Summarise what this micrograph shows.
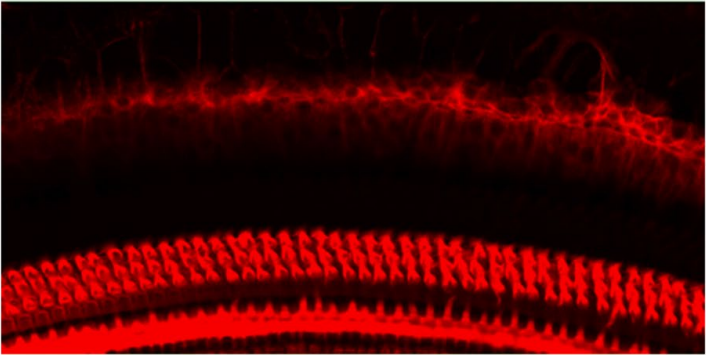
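This whole mount of the organ of Corti shows the outer hair cells as bright red V-shaped profiles in regularly spaced parallel rows along a curved strip near the lower edge. Below them a bright red continuous band runs parallel to the rows. Above the hair cell region, separated by a darker zone, a band of polygonal cell outlines is traced in red. Thin red fibres run from this band towards the upper part of the field.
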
